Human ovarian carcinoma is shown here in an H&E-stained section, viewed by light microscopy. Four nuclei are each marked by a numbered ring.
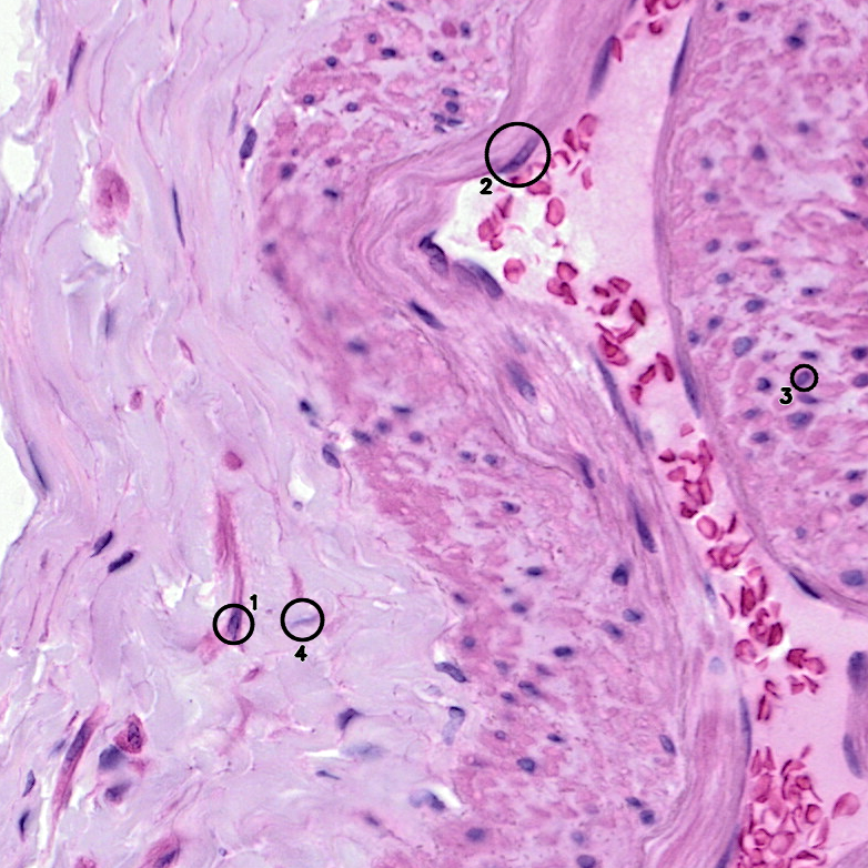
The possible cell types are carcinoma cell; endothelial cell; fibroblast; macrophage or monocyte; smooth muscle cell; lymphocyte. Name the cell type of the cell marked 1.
smooth muscle cell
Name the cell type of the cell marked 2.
endothelial cell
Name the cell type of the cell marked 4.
fibroblast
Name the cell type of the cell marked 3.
smooth muscle cell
